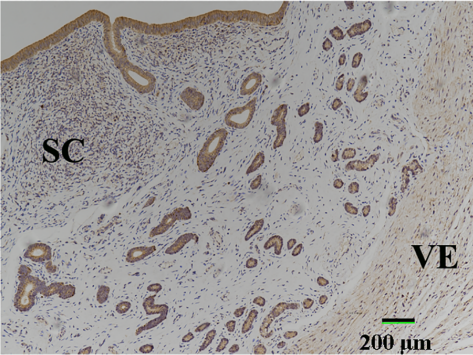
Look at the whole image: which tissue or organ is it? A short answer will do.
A: Endometrium.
